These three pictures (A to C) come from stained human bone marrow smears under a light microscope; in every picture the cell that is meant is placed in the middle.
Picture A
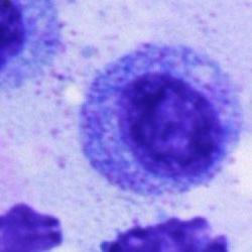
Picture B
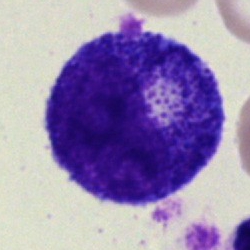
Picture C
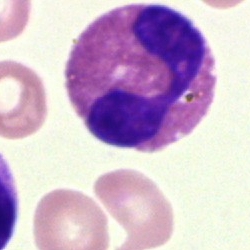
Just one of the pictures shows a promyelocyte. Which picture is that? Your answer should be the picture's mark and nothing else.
B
